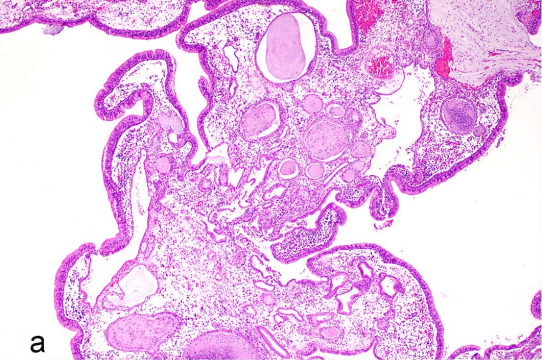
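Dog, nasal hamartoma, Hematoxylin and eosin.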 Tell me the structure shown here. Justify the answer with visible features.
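Round spaces in the stroma are lined by epithelium. Several of these spaces are filled with pale pink material. On this evidence: distended adenomatoid/gland-like structures.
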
